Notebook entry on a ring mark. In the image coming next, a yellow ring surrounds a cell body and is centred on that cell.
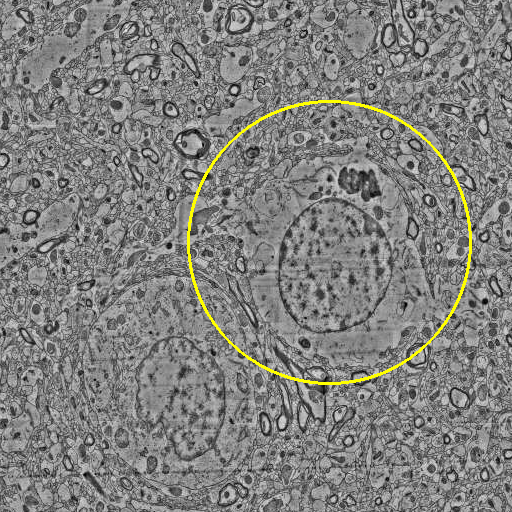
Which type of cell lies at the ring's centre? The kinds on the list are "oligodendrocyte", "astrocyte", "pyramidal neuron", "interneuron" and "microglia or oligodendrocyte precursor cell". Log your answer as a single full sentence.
Centred in the yellow ring is an astrocyte, the cell recorded for this image.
